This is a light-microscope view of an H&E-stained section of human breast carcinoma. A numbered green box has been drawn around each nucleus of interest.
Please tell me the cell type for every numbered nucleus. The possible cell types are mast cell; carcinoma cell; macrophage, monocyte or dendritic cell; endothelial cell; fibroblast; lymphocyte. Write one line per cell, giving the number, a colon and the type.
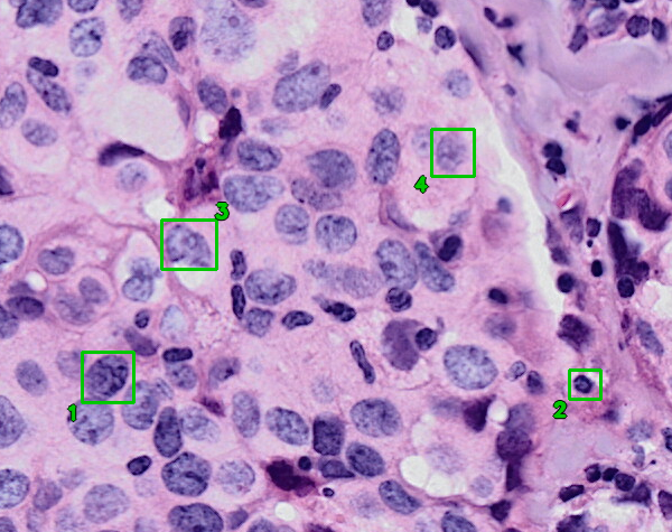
1: carcinoma cell
2: lymphocyte
3: carcinoma cell
4: carcinoma cell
